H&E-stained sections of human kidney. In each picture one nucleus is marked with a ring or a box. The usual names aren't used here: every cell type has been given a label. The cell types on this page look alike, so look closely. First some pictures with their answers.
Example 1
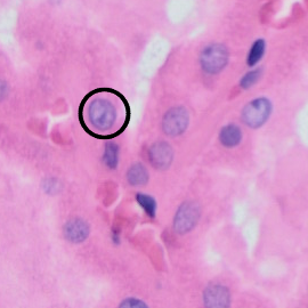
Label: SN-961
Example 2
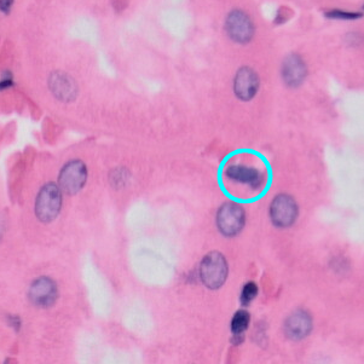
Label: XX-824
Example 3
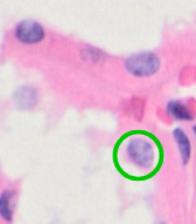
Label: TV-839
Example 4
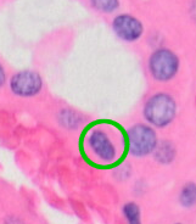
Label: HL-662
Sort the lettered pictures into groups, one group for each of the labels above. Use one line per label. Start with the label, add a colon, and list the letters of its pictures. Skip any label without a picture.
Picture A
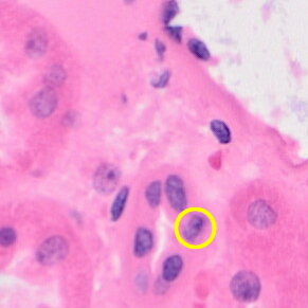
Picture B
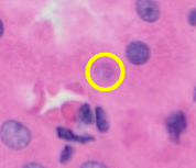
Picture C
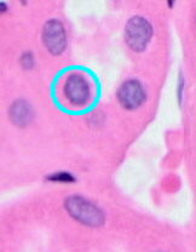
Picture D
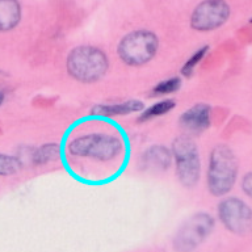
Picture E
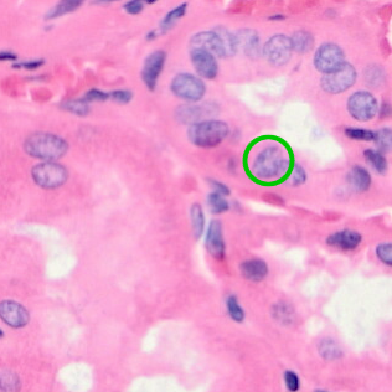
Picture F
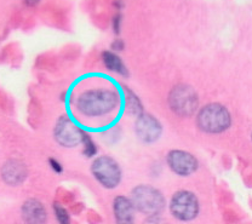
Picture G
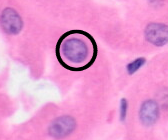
SN-961: B, G
TV-839: C
HL-662: A, D, E, F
